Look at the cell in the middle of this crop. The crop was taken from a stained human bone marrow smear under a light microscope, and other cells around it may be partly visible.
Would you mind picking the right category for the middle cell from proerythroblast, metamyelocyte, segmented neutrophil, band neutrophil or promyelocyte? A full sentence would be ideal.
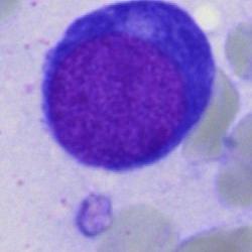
Occupying the centre of the crop is a proerythroblast.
